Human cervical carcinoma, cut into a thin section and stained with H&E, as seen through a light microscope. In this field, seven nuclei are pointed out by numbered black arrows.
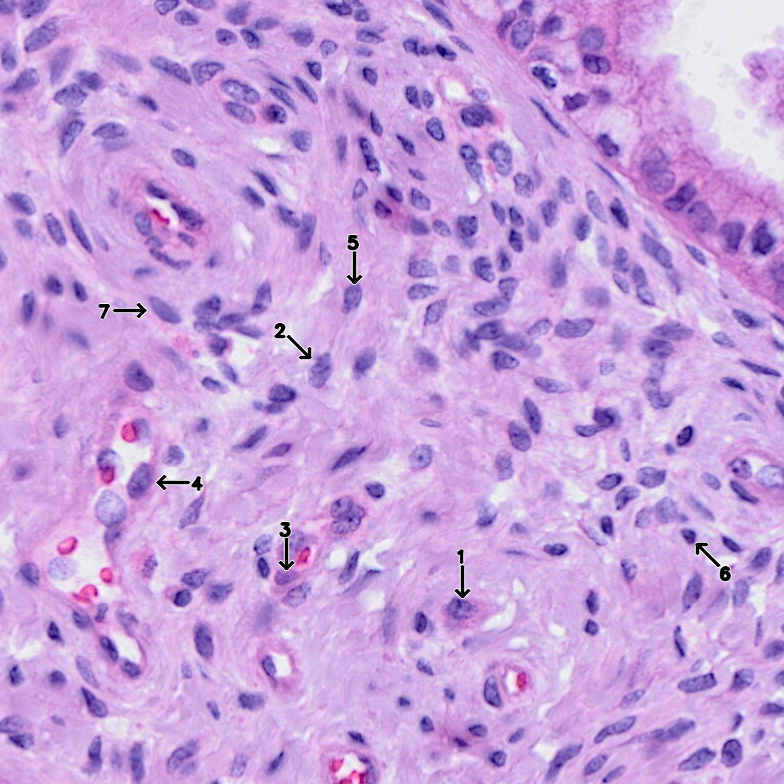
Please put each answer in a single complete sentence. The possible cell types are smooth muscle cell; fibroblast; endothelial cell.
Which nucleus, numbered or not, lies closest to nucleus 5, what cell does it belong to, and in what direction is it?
The nearest one is a fibroblast, found above and to the left of nucleus 5.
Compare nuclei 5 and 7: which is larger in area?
Nucleus 7 covers more area, about 1.5 times as much as nucleus 5.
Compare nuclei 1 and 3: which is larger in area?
Number 1 is larger; its area is about 3 times that of number 3.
